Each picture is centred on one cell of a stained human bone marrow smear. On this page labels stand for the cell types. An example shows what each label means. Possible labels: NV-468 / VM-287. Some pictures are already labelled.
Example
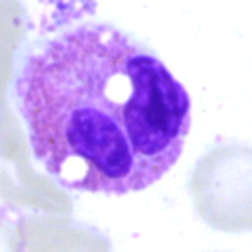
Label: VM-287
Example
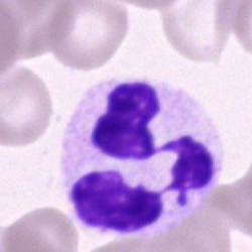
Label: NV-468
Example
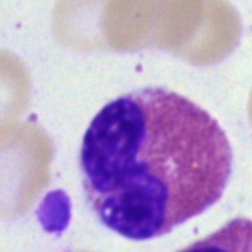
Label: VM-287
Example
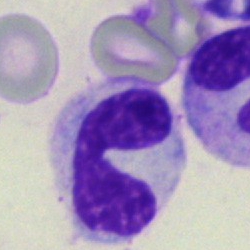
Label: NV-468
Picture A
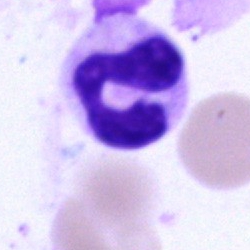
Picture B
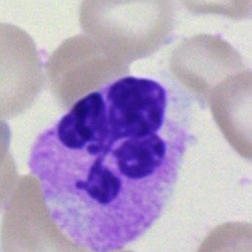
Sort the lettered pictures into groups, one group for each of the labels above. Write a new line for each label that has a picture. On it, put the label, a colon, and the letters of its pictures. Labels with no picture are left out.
NV-468: A, B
